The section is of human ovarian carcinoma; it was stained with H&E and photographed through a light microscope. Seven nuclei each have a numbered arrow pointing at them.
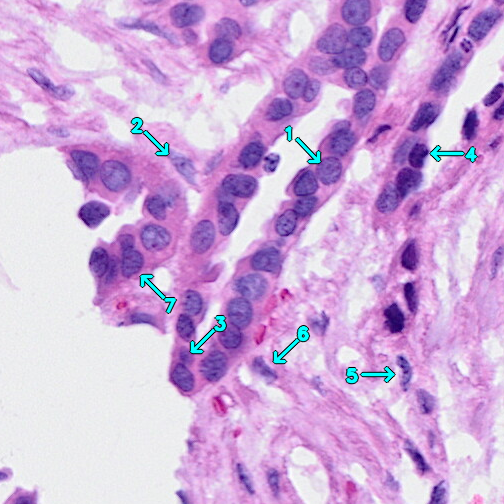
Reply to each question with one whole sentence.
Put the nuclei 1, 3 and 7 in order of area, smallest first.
From smallest to largest, the order is 3, 7, 1.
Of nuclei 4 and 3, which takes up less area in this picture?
It is nucleus 3; nucleus 4 has about 4 times its area.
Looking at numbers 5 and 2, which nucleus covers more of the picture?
Nucleus 2 is larger, with an area about 1.5 times that of nucleus 5.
